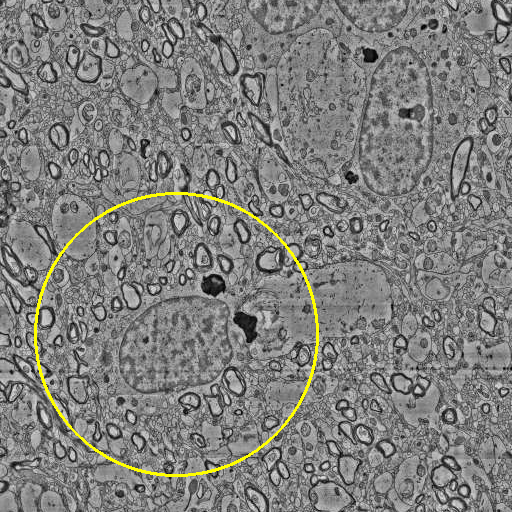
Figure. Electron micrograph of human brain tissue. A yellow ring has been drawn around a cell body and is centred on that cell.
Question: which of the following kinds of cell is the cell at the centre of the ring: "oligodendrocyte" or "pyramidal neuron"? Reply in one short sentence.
The cell at the centre of the ring is an oligodendrocyte.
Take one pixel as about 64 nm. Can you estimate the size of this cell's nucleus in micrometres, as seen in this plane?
About 9 by 6 micrometres in this plane.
